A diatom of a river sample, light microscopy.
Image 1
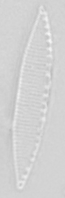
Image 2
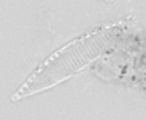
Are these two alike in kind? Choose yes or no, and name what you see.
Yes. Nitzschia.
